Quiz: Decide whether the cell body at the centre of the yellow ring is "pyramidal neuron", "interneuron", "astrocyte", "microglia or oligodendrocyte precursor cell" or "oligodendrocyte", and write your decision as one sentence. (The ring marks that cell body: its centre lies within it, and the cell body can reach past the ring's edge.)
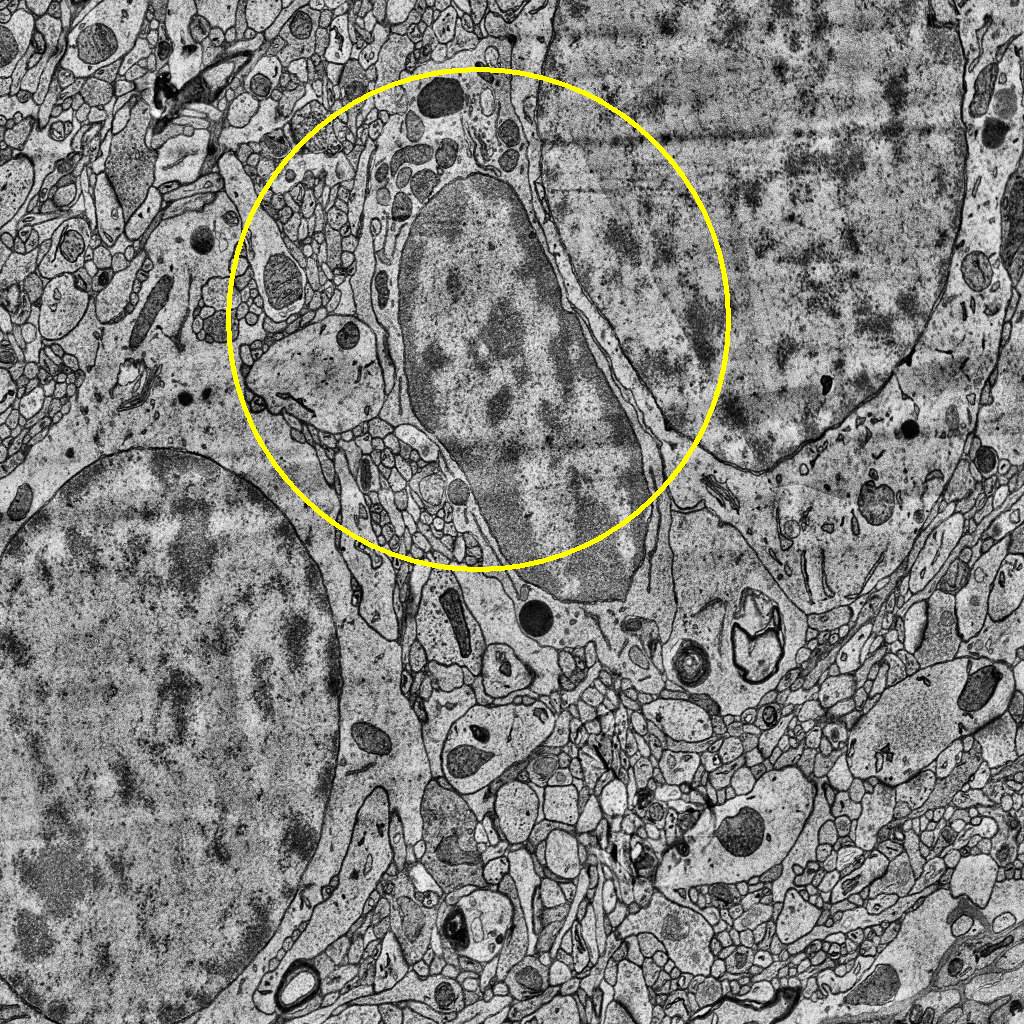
The cell holding the ring's centre is a microglial cell or oligodendrocyte precursor cell.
